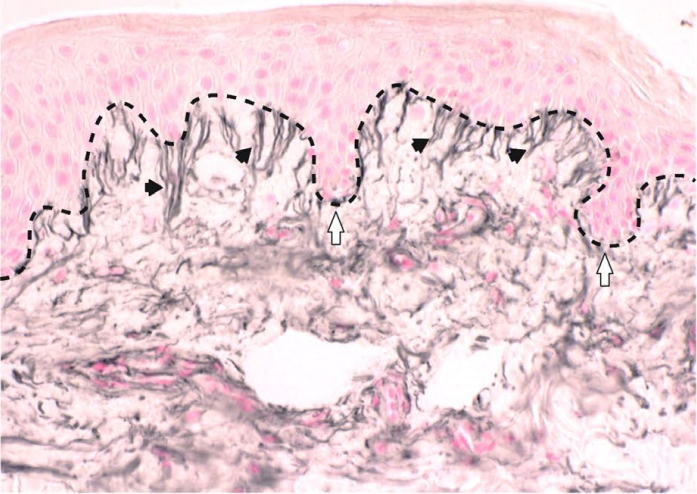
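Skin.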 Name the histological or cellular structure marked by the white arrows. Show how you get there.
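These downgrowths project from the epidermis into the underlying dermis. Between them, dermis rises up into the epidermis.
Answer: rete ridges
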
